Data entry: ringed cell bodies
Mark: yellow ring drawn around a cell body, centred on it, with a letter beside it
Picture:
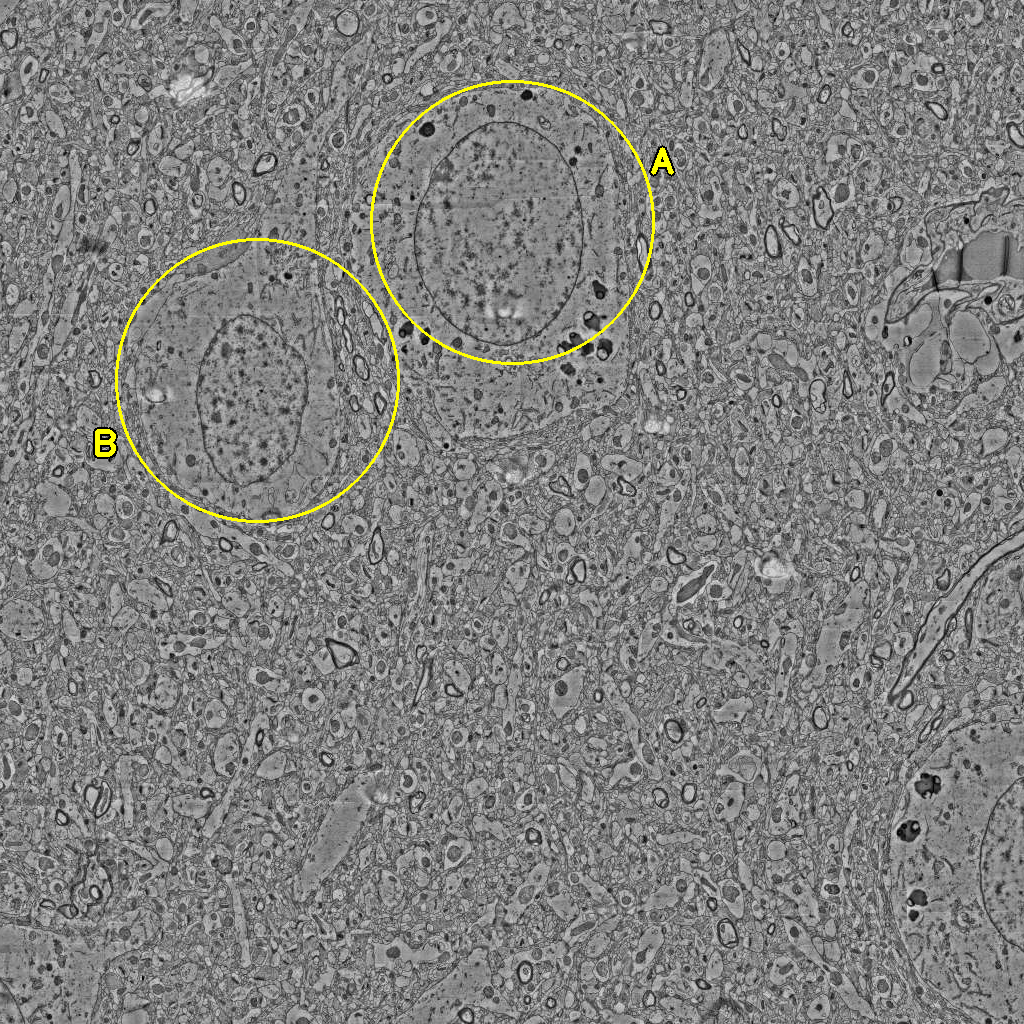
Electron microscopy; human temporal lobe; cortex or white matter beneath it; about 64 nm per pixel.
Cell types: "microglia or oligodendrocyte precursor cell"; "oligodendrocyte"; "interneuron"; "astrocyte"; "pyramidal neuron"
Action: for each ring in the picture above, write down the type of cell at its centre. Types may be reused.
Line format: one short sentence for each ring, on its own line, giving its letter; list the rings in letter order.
For ring A, the cell at the centre is a pyramidal neuron.
For ring B, the cell at the centre is a pyramidal neuron.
